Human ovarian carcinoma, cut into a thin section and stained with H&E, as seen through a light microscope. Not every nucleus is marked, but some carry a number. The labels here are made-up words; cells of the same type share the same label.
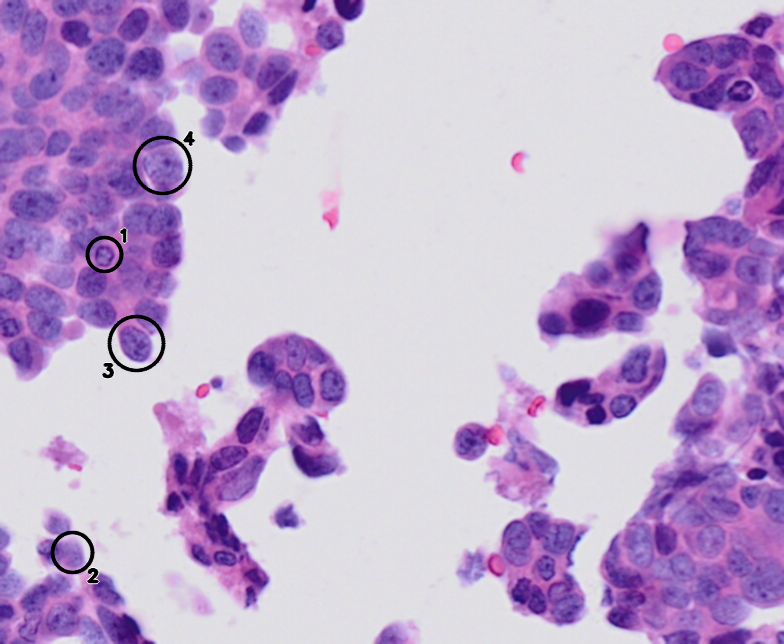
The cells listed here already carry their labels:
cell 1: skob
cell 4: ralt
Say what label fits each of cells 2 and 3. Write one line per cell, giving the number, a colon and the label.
2: ralt
3: ralt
